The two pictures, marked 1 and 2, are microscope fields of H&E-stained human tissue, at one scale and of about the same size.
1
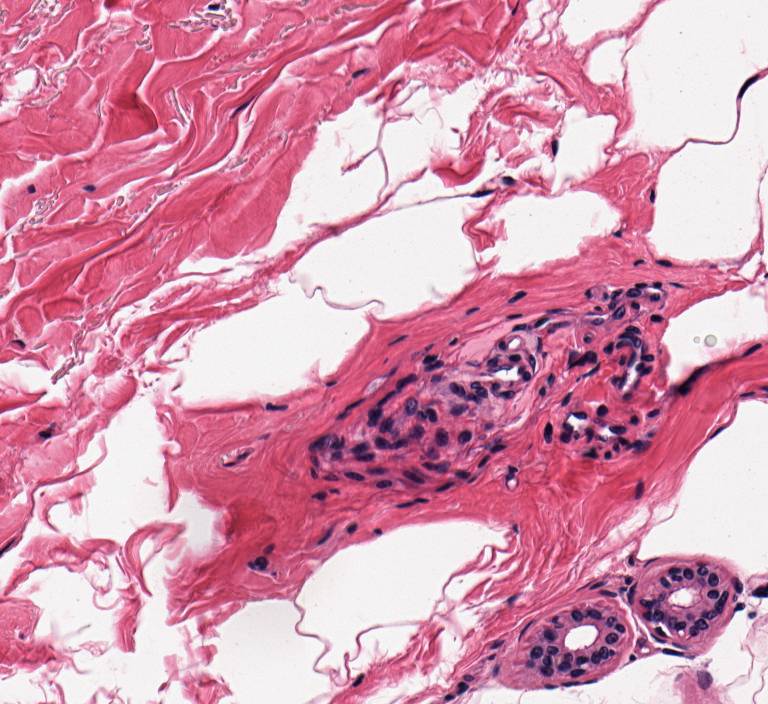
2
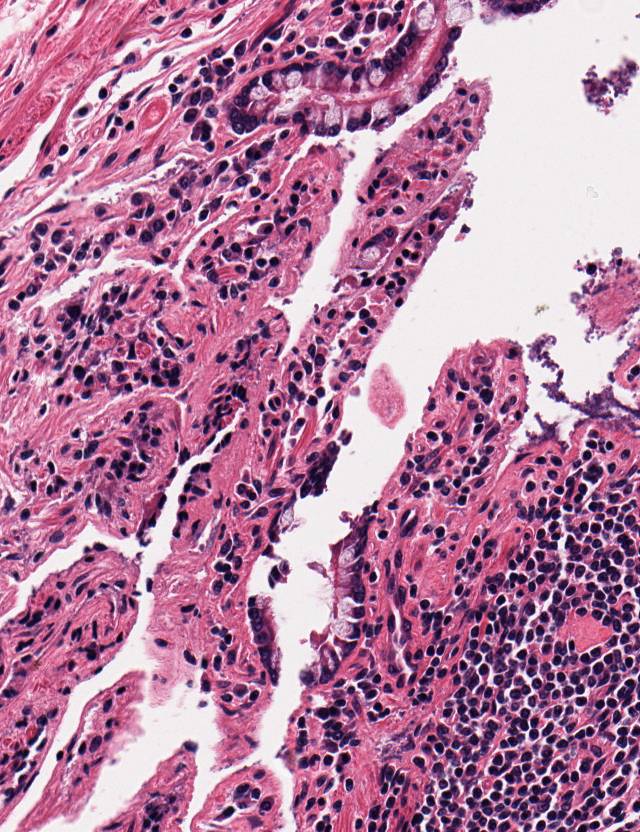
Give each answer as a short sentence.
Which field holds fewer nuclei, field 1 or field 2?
The smaller number of nuclei is in field 1.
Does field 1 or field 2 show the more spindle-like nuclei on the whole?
It is field 1 whose nuclei are the more elongated.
